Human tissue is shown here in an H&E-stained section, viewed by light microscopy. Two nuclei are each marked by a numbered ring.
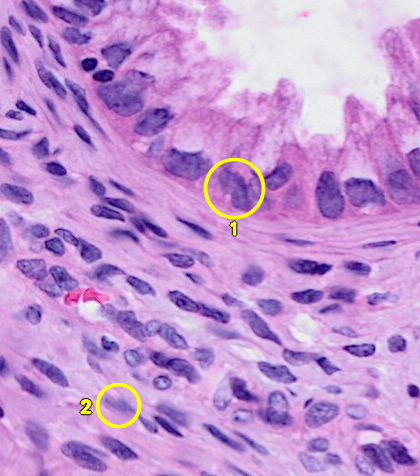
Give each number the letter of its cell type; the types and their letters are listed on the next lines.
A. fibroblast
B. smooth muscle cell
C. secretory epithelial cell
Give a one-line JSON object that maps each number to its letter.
{"1": "C", "2": "A"}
